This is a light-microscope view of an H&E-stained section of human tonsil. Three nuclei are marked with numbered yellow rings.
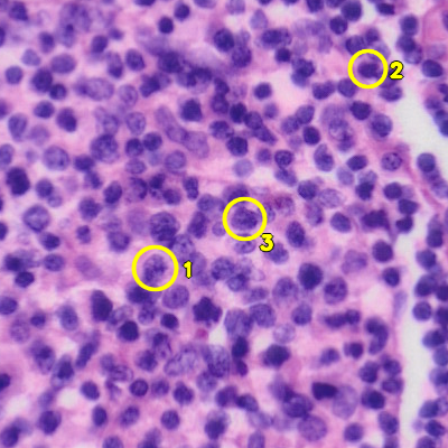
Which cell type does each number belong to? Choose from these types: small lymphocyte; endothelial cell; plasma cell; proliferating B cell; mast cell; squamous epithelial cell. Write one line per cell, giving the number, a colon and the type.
1: proliferating B cell
2: small lymphocyte
3: proliferating B cell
